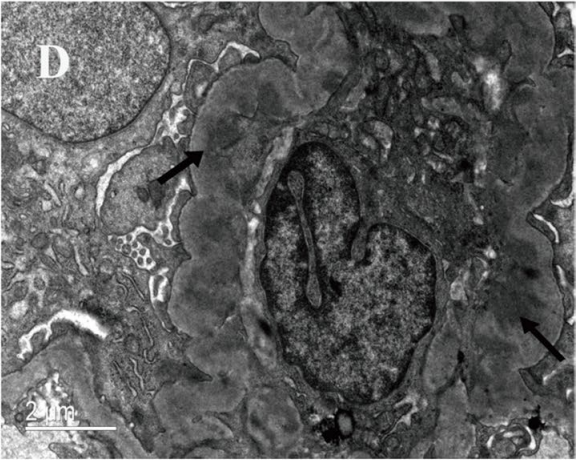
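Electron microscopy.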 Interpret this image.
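Transmission electron micrograph of part of a glomerulus with mesangial electron-dense deposits. A central cell with an irregularly folded nucleus is surrounded by wide zones of homogeneous dark grey material. Neighbouring cell profiles with many small cytoplasmic processes and another nucleus lie at the upper left. The dense material fills the space between the cells and pushes against their borders.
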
